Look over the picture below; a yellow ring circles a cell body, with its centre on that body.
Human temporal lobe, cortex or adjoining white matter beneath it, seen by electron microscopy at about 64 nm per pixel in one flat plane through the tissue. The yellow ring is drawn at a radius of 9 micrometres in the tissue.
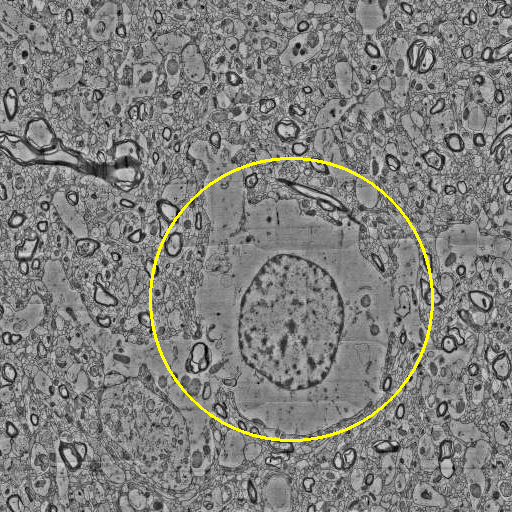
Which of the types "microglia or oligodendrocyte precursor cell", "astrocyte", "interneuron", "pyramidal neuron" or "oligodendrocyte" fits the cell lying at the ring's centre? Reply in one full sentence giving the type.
The picture shows an astrocyte at the centre of the yellow ring.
